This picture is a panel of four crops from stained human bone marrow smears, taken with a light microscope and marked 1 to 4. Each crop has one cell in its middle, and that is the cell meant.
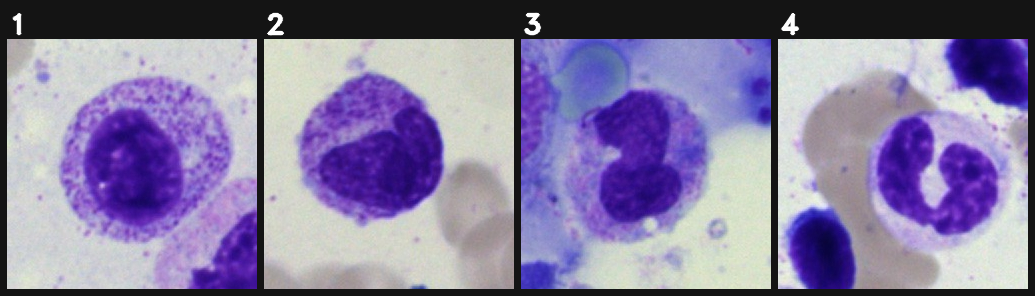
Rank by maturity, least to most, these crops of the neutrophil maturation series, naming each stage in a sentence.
From least to most mature, the order is crop 1 (a myelocyte), crop 2 (a metamyelocyte), crop 3 (a band neutrophil) and crop 4 (a segmented neutrophil).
